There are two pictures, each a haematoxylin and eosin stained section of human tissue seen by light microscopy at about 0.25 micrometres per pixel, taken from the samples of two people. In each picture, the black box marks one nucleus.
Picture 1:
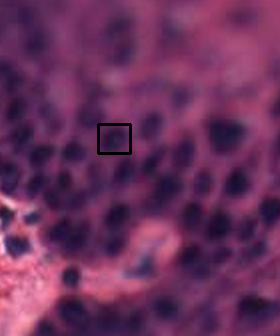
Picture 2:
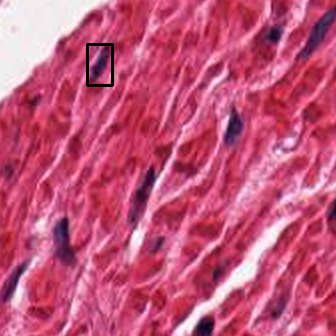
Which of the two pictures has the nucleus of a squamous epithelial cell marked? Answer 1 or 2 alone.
1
